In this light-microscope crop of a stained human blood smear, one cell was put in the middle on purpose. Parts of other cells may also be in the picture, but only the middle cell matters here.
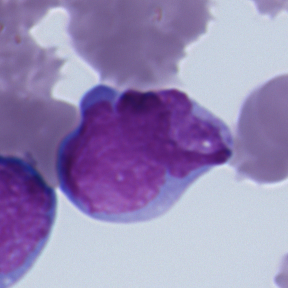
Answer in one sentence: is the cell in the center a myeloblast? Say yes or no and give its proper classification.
Yes, the cell that the crop is centred on is a myeloblast.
